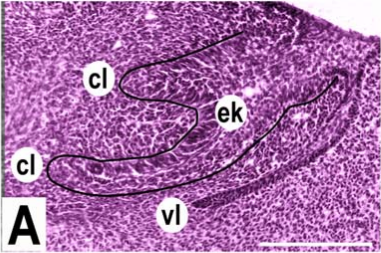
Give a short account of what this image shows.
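This is a section through a developing tooth germ at the cap stage, with a folded band of epithelium embedded in densely cellular mesenchyme. The epithelium forms a cap shape whose two limbs, the cervical loops, curve outward at their ends, and a central region where the enamel knot sits. Below the tooth germ a separate elongated epithelial band, the vestibular lamina, runs roughly parallel. The surrounding mesenchyme consists of closely packed cells with dark purple nuclei and little cytoplasm. Within the cap the cells appear somewhat more loosely arranged than at its edges.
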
